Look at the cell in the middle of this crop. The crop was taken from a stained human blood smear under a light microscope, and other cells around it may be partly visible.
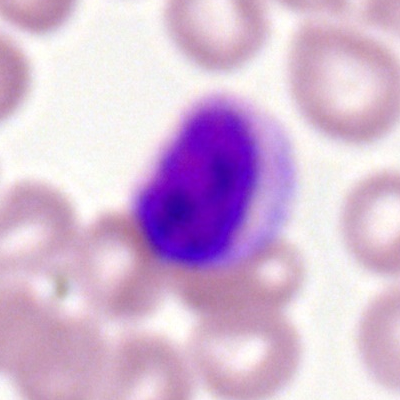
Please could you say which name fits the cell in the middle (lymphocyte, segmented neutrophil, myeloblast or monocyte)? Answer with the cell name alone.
lymphocyte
